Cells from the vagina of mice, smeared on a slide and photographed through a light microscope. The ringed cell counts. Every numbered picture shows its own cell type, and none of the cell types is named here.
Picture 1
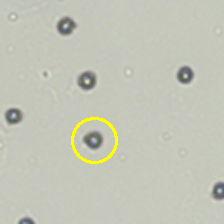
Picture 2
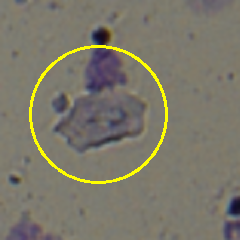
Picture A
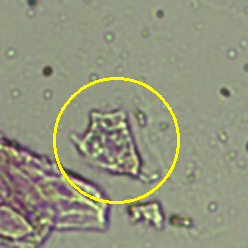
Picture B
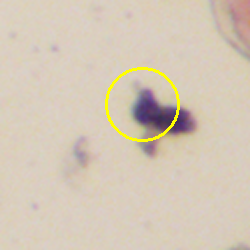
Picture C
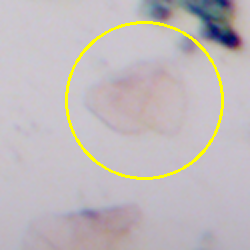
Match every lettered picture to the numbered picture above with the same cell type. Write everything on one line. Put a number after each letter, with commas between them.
A 2, B 1, C 2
